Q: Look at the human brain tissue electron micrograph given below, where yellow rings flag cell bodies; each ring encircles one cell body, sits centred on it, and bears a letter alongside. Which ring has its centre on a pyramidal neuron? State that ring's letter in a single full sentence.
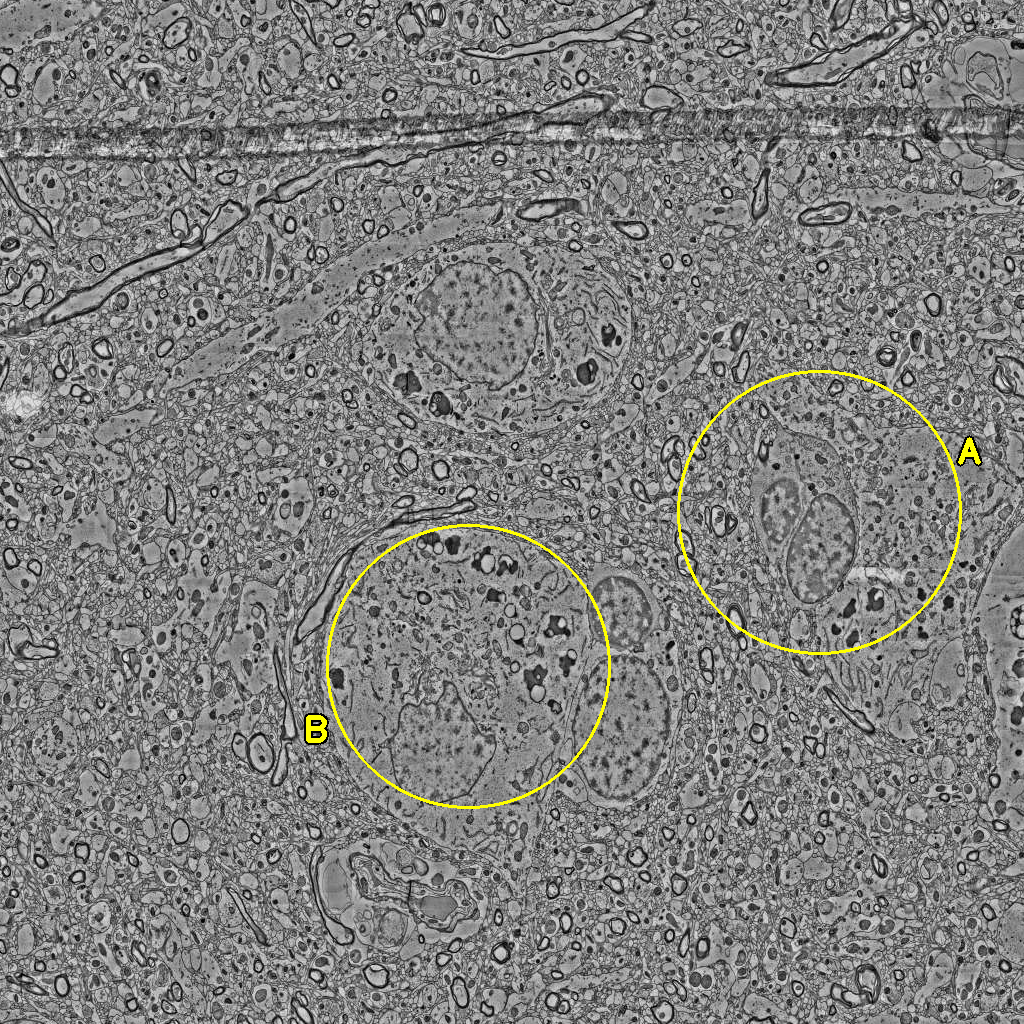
In the picture, the cell of that kind sits at the centre of ring B.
